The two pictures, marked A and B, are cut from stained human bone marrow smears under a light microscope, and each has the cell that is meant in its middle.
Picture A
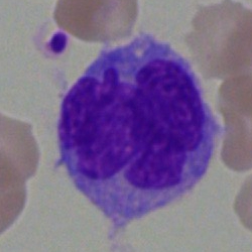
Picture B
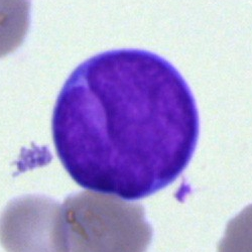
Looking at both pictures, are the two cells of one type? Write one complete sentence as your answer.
No. Picture A shows a monocyte, but picture B shows a blast.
